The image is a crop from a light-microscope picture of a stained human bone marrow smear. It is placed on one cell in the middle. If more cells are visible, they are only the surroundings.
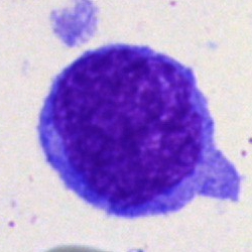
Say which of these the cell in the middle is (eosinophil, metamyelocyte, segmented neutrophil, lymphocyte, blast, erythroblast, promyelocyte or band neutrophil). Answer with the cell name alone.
blast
